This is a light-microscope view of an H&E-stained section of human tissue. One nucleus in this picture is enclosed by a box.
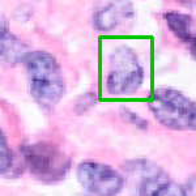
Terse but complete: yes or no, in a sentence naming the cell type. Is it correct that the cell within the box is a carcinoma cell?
Yes, the cell within the box is assigned the identity of a carcinoma cell.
